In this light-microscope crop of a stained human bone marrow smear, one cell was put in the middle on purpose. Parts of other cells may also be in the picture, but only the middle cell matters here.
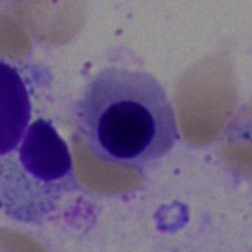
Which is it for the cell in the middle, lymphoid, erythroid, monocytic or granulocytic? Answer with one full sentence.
The cell located at the center of the crop is erythroid by lineage.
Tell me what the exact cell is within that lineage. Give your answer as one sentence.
Standing at the centre of this crop is an erythroblast.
